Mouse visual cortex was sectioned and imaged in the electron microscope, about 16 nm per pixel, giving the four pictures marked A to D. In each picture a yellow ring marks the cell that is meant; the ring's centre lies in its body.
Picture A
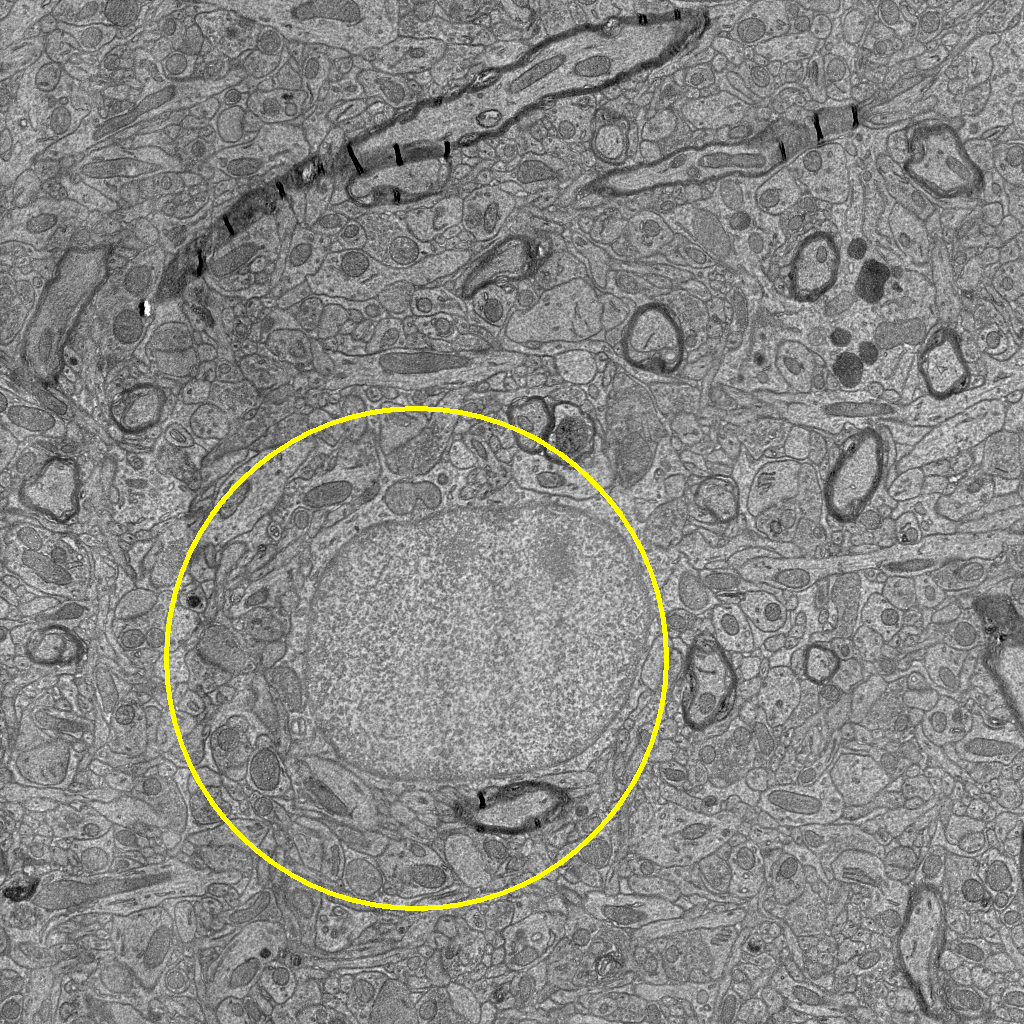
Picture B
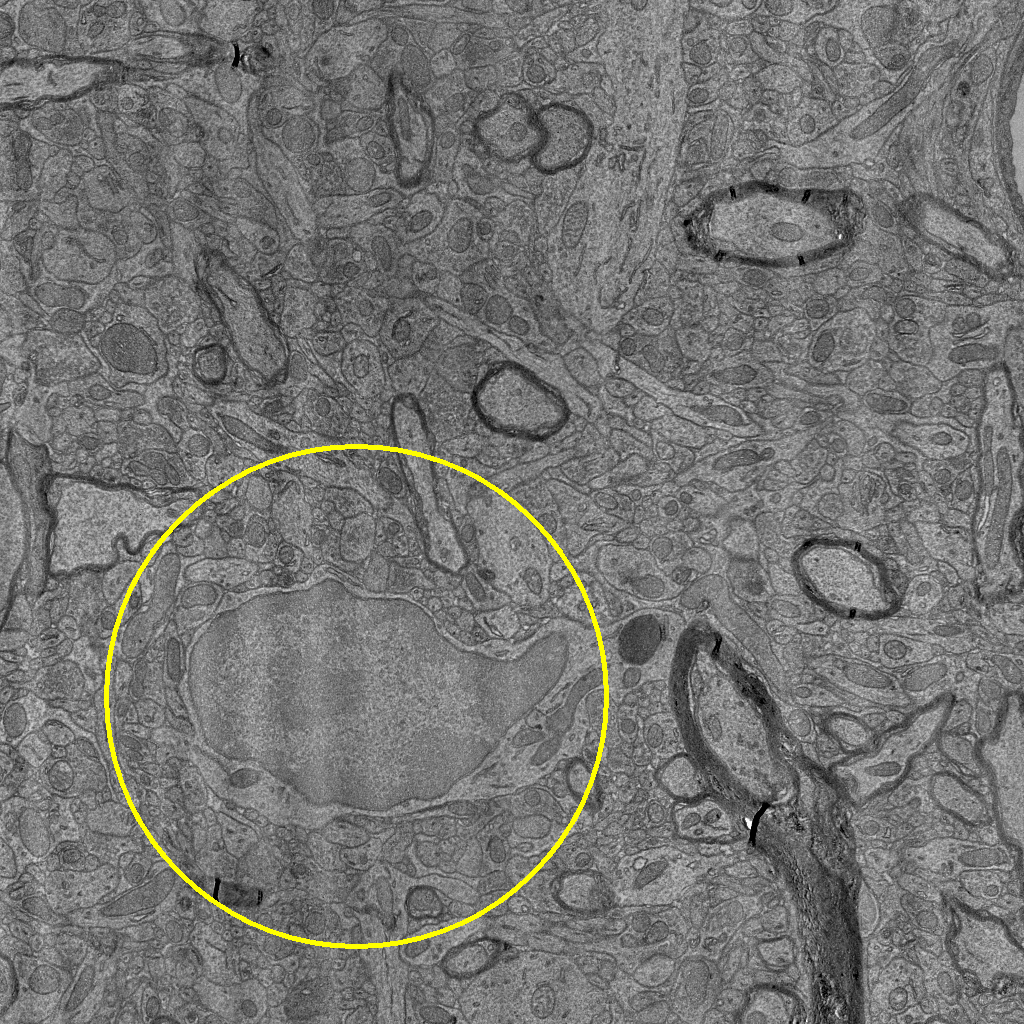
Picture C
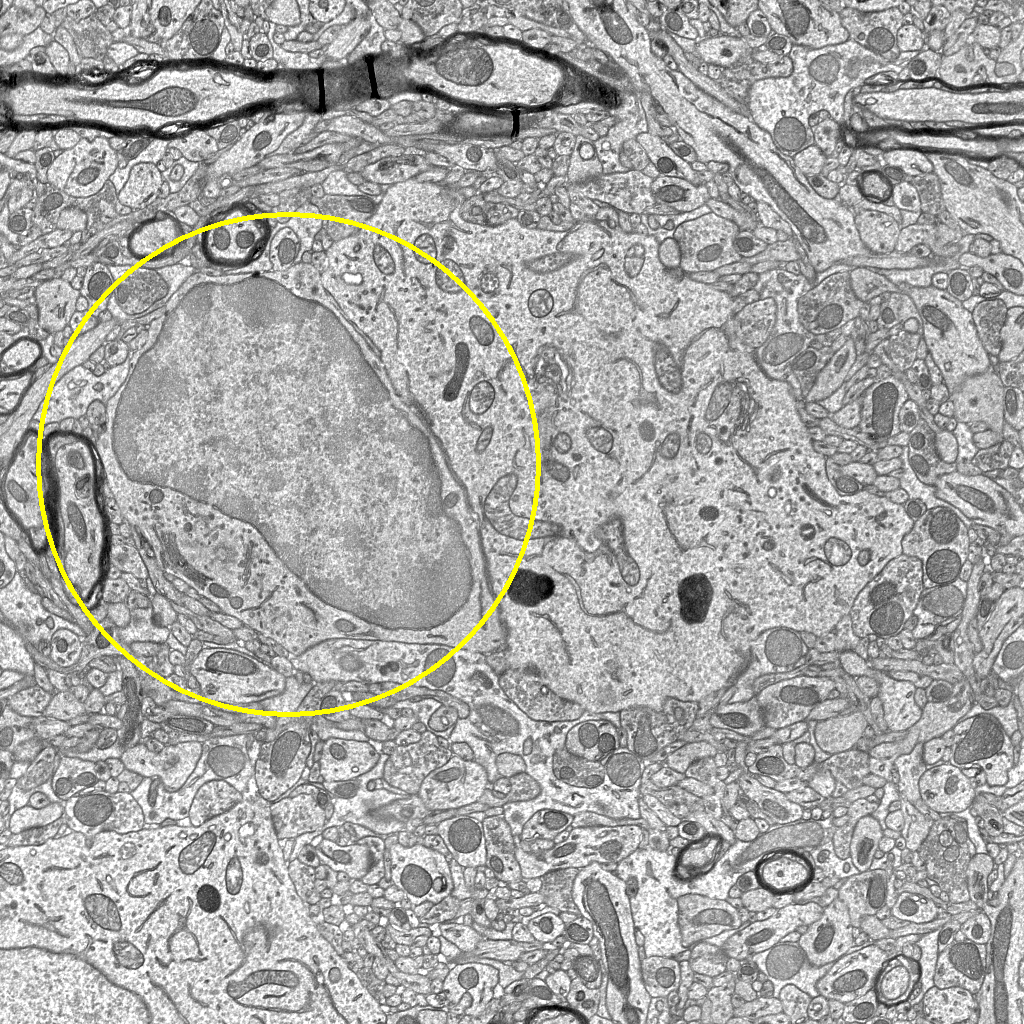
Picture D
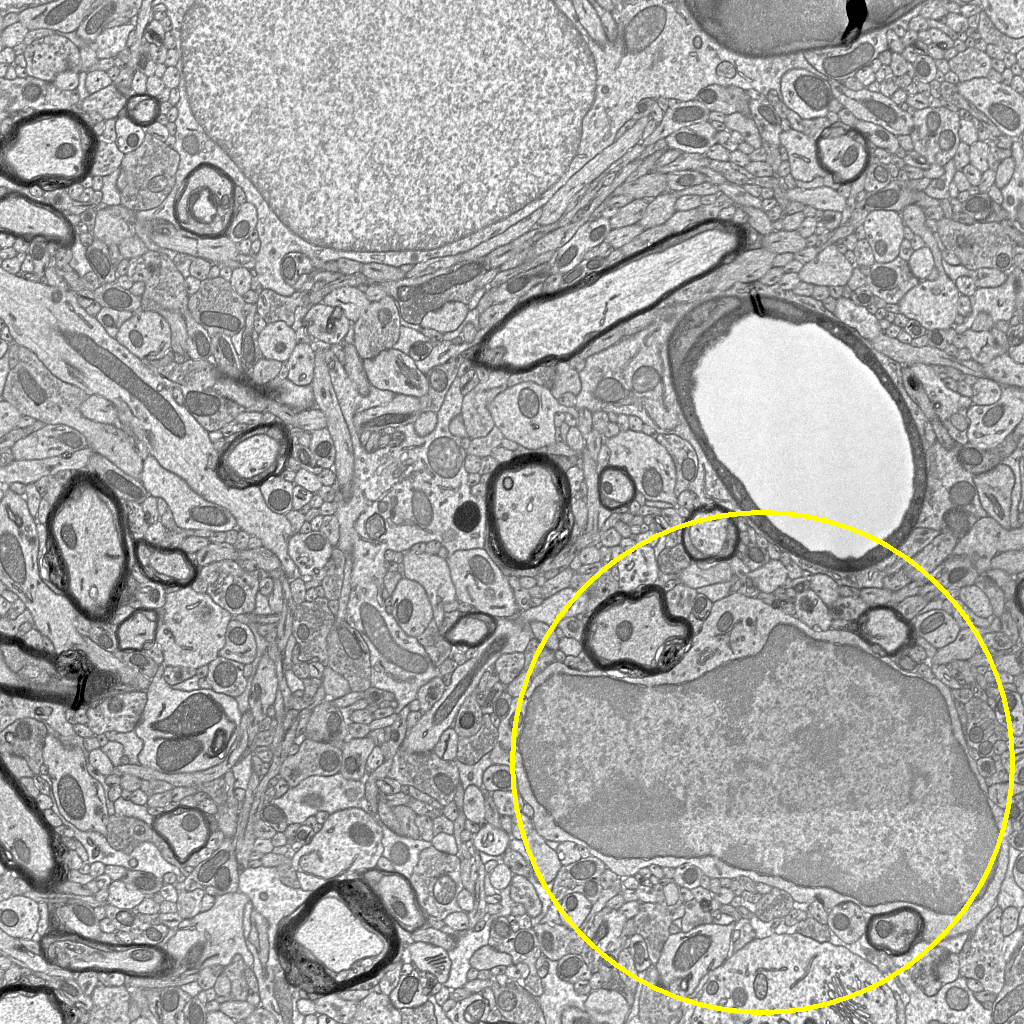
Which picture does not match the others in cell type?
Picture A is the odd one out: it shows an astrocyte, while the others show microglial cells.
